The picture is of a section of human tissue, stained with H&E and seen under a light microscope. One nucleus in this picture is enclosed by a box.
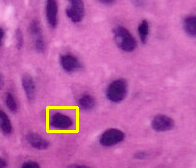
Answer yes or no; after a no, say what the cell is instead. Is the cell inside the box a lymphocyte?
No, it is a squamous epithelial cell.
